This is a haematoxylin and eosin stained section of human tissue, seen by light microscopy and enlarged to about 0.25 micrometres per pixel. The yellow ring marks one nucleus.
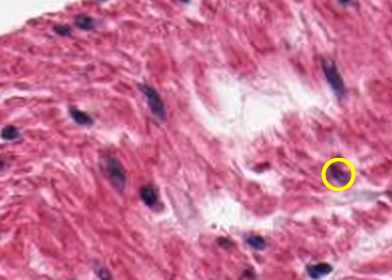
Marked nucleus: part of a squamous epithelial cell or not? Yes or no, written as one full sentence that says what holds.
No, the marked nucleus is not held within a squamous epithelial cell.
